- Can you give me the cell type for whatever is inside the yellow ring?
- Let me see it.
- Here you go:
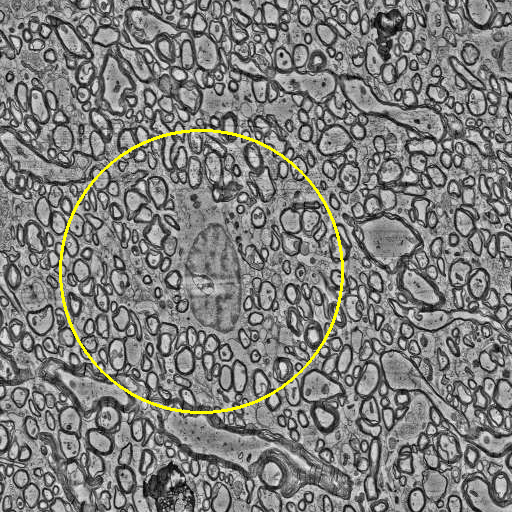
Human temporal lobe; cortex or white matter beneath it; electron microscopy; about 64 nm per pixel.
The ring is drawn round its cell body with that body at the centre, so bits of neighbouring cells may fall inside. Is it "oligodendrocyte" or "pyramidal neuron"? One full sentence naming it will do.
The cell body in the middle of the ring in this picture belongs to an oligodendrocyte.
